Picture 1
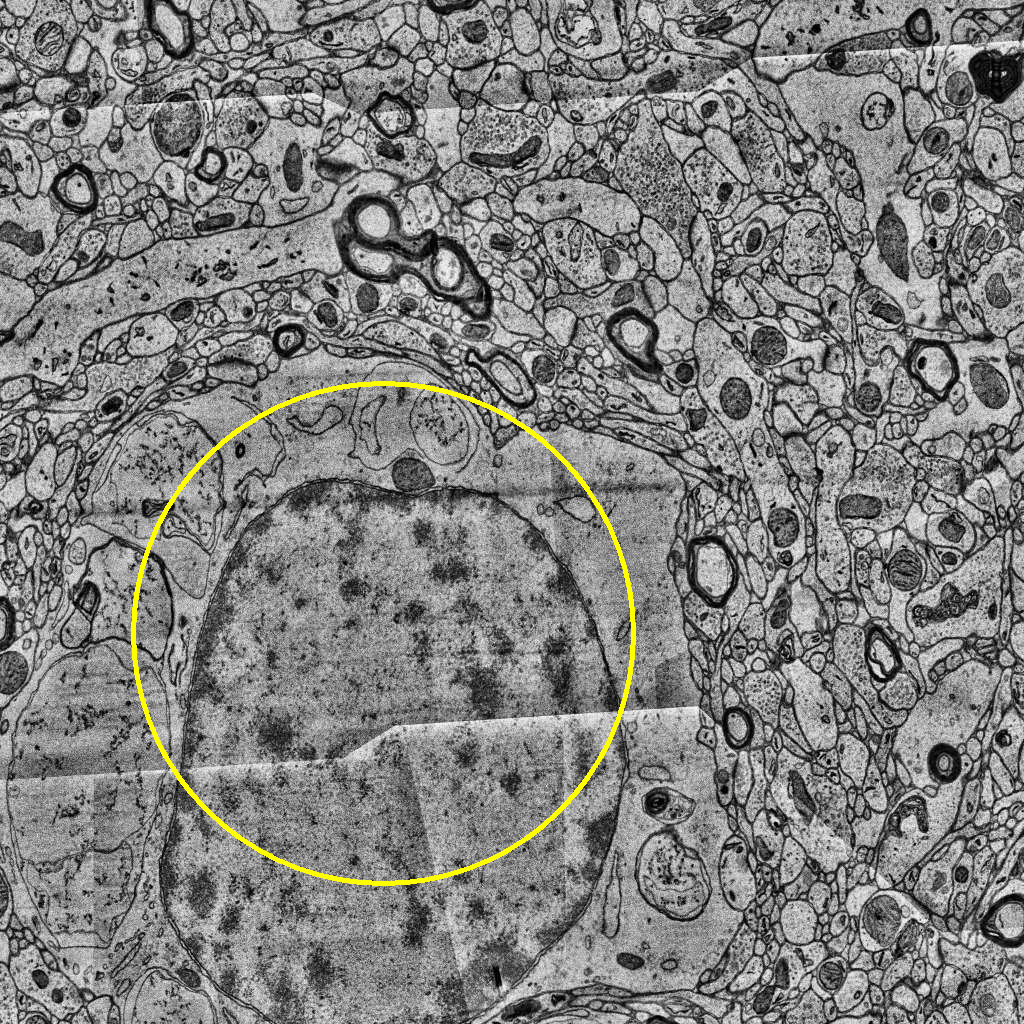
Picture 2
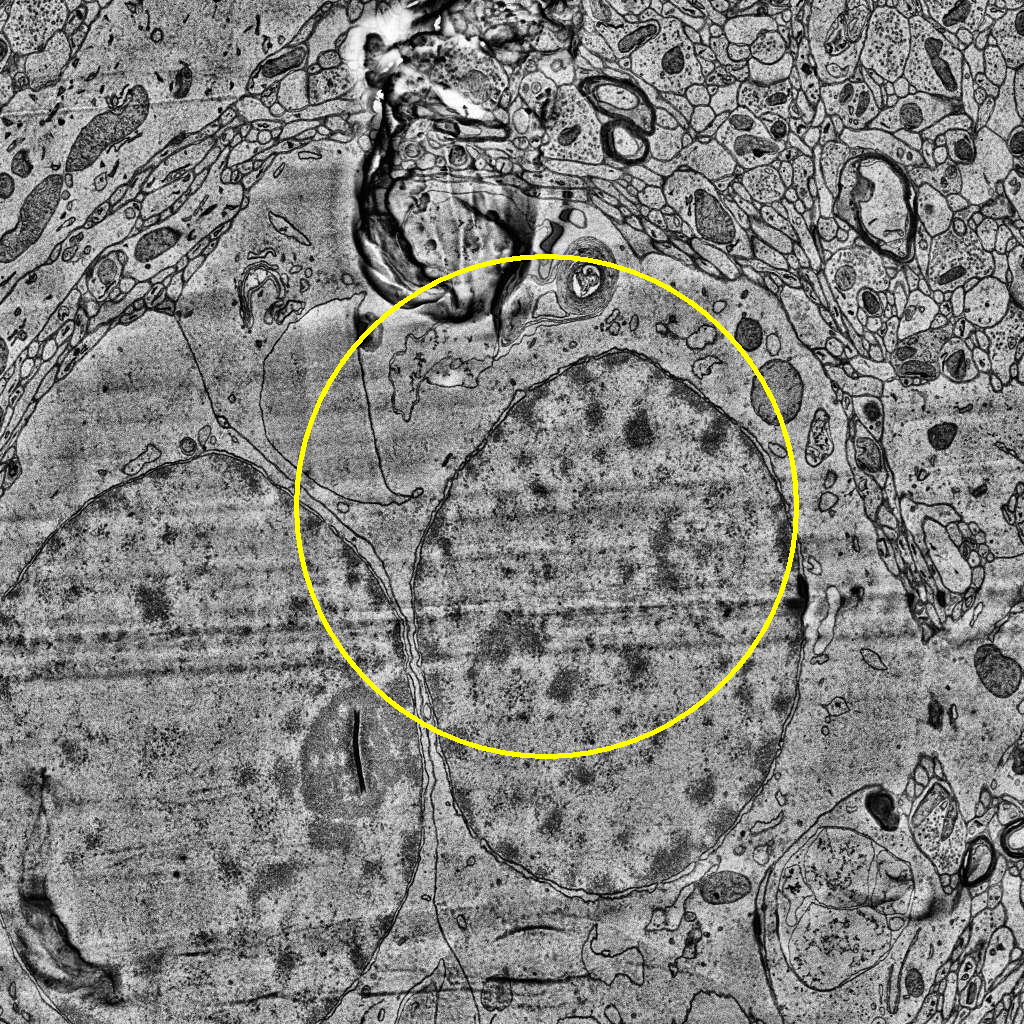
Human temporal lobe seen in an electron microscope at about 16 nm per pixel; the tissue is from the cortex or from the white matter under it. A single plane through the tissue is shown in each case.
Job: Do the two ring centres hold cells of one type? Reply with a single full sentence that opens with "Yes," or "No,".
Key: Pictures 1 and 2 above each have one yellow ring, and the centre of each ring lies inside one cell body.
Yes, the cells at the two ring centres are of one single type.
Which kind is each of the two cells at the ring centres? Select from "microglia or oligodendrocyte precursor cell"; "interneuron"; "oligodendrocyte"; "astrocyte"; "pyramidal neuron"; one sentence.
Each of the two cells is an astrocyte.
